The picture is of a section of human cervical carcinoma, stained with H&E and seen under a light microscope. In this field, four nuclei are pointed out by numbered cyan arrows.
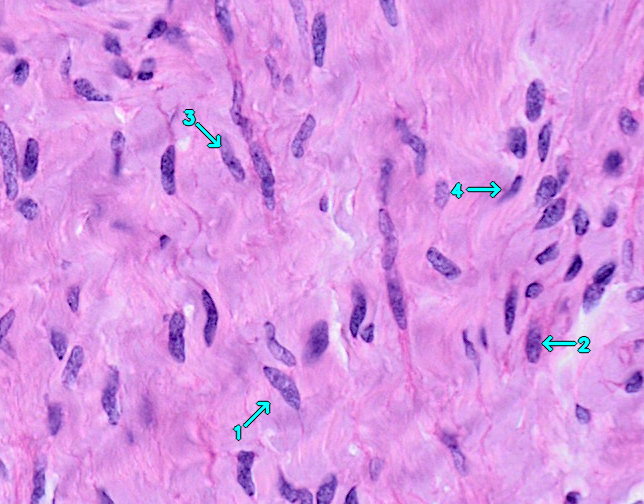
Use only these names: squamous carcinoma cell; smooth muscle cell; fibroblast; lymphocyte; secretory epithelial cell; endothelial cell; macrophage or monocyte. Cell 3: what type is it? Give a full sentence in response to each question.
Number 3 among the marked cells is a fibroblast.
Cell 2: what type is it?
To a smooth muscle cell belongs the nucleus marked 2.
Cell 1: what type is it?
Looking at the numbered marks, cell 1 is a fibroblast.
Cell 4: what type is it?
Numbered cell 4 is a fibroblast in this tissue section.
